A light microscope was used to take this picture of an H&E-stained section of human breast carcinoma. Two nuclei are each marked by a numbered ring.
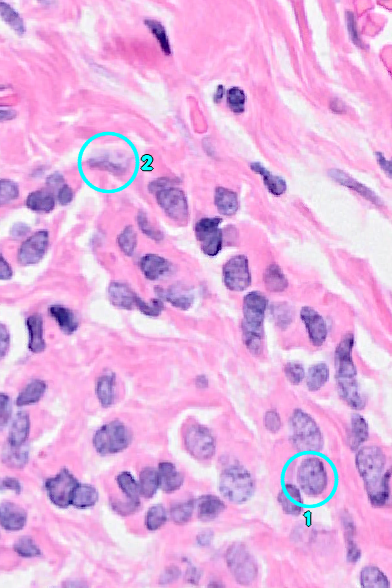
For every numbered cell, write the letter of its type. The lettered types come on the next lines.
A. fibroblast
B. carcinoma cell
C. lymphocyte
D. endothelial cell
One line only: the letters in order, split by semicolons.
B; A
